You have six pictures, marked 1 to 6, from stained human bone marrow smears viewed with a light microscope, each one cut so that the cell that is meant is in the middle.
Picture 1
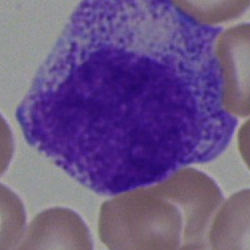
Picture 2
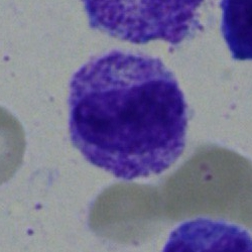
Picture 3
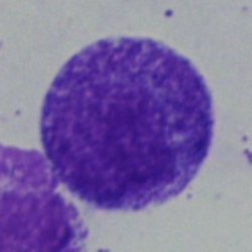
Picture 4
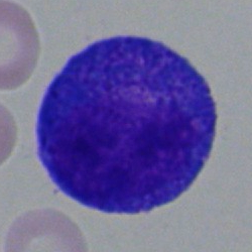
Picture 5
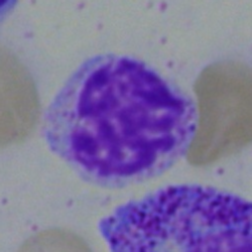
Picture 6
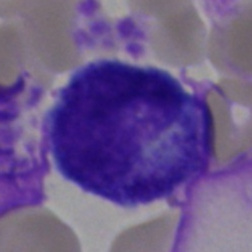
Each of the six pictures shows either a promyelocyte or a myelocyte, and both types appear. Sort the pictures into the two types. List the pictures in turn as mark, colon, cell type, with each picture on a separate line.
1: myelocyte
2: myelocyte
3: promyelocyte
4: promyelocyte
5: myelocyte
6: promyelocyte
